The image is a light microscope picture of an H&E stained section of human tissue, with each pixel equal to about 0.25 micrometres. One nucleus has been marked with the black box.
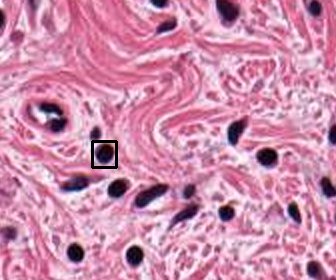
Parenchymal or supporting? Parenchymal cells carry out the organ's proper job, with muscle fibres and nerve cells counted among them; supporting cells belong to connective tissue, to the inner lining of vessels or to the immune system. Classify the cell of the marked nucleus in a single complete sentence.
Forming part of a supporting cell is the marked nucleus.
